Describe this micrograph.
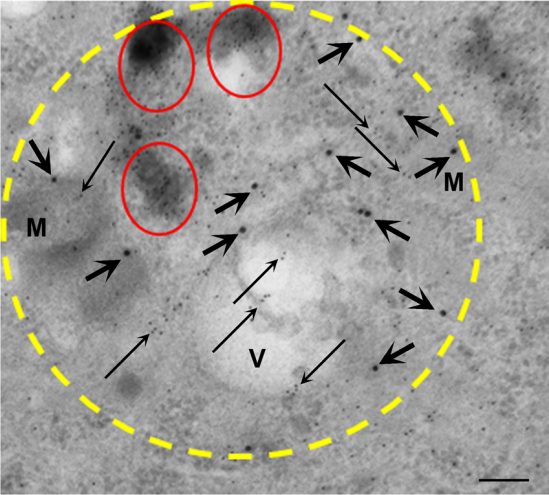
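Mitochondria sit near the edge of the circled area. Small dark gold particles are scattered through the cytoplasm, with larger ones marked by thick arrows and smaller ones by thin arrows. Three dark, dense patches packed with fine particles are ringed in red in the upper part of the area.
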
